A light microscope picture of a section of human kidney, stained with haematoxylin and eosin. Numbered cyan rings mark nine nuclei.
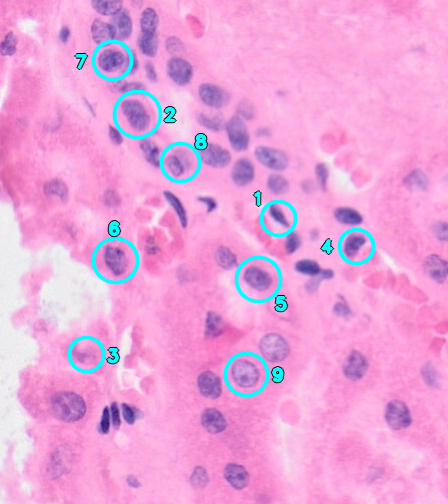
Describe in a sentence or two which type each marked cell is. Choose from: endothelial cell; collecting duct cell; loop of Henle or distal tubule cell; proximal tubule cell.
Cells 1 and 4 are endothelial cells. Cells 2, 7 and 8 are collecting duct cells. Cells 3, 5, 6 and 9 are proximal tubule cells.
